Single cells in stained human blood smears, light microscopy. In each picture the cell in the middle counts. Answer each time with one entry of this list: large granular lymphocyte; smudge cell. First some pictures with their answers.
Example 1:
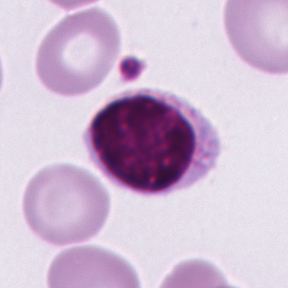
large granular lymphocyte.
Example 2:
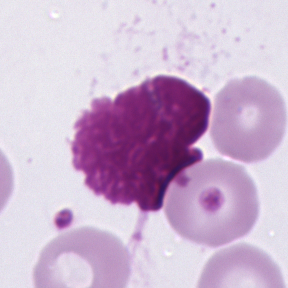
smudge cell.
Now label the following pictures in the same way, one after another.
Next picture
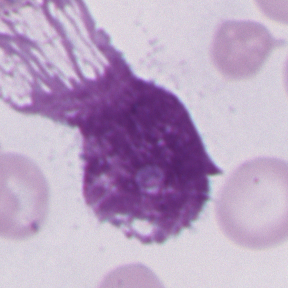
smudge cell.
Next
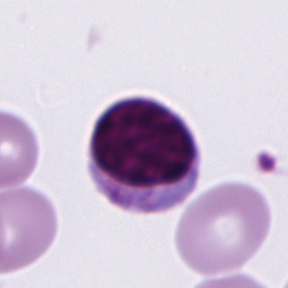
large granular lymphocyte.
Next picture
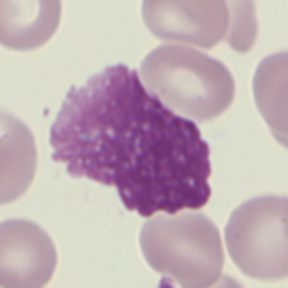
smudge cell.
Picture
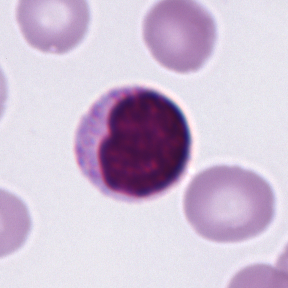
large granular lymphocyte.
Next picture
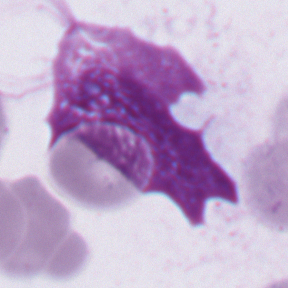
smudge cell.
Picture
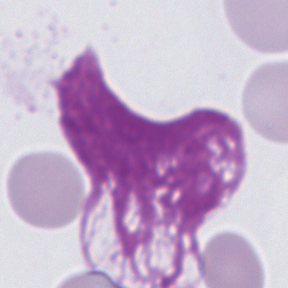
smudge cell.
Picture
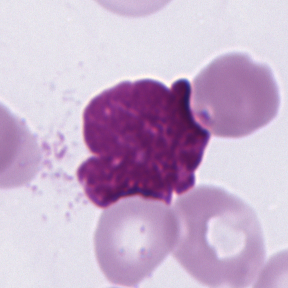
smudge cell.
